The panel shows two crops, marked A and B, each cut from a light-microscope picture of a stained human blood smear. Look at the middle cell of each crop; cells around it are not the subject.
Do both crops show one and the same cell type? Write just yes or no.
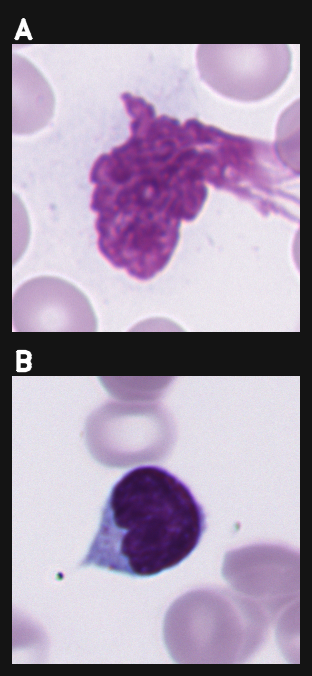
no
